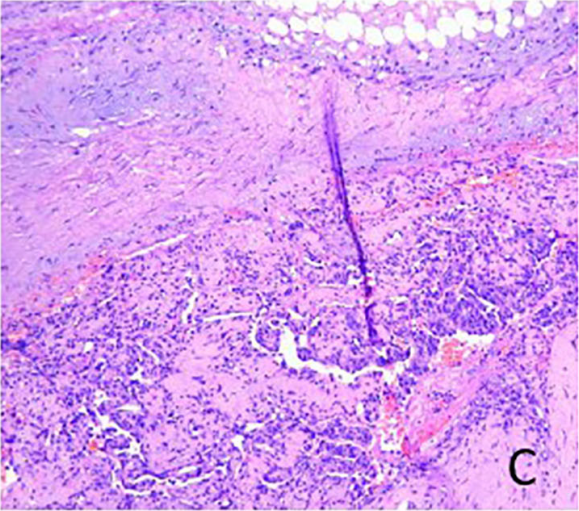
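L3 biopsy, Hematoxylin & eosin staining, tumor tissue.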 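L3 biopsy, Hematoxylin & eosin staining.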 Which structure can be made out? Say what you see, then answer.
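Many slit-like and irregular clear spaces run through the cellular area. The spaces are edged by dark purple nuclei. Dense purple cellular tissue surrounds the spaces, with pink fibrous tissue above. That points to this answer: lumen was lined with monolayer, dark-stained endothelial cells.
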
